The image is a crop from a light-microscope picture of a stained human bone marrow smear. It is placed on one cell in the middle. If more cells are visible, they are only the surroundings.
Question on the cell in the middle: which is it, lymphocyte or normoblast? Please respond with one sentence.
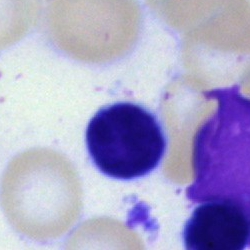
The cell under consideration, at the middle of the crop, is a lymphocyte.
